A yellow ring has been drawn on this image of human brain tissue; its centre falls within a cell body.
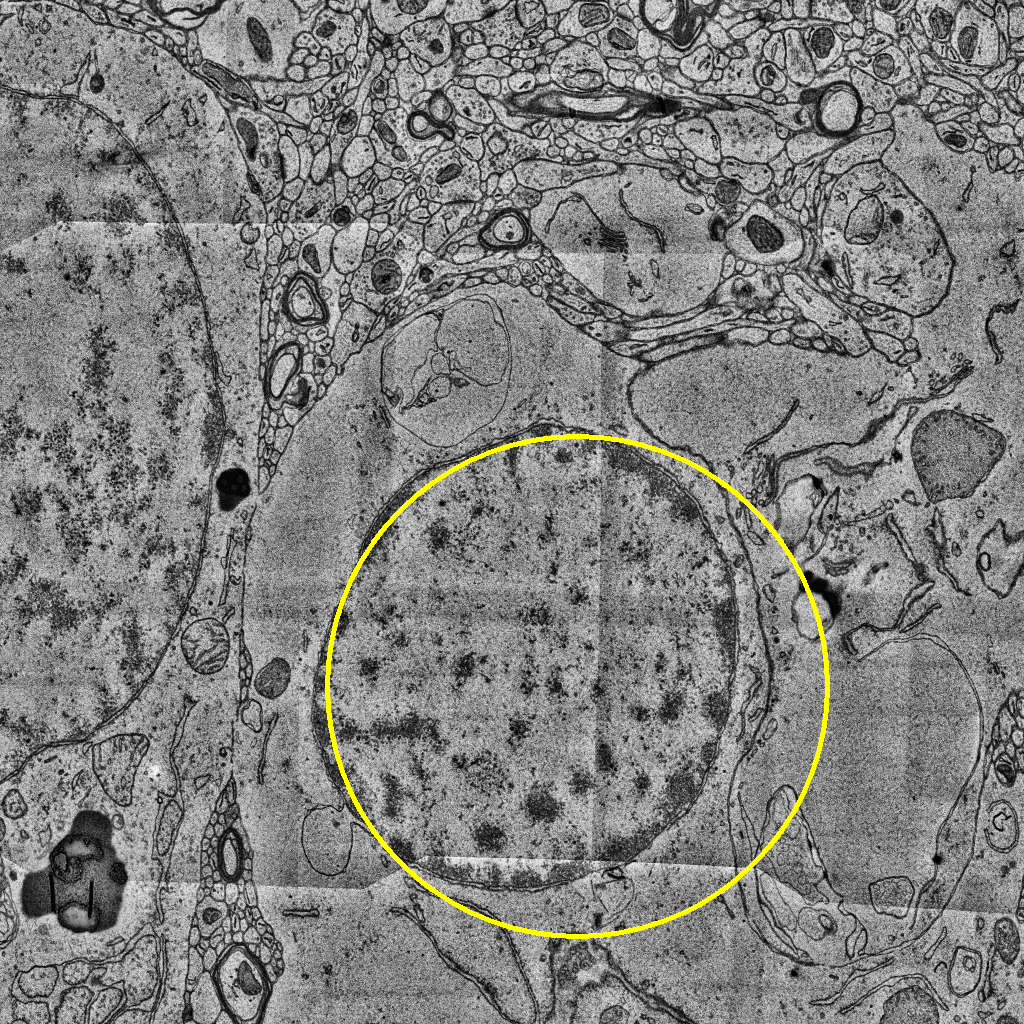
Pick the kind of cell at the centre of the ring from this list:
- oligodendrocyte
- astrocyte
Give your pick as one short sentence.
The centre of the ring holds an astrocyte.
